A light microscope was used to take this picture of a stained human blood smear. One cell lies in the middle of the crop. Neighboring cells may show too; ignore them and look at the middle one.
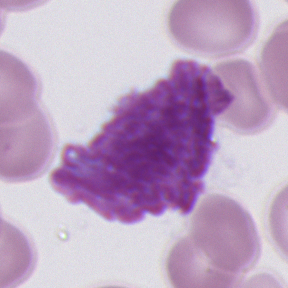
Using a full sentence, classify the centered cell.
The cell occupying the middle of the crop is a smudge cell.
